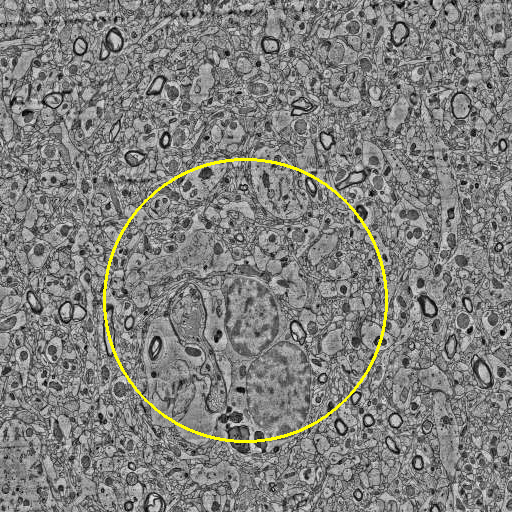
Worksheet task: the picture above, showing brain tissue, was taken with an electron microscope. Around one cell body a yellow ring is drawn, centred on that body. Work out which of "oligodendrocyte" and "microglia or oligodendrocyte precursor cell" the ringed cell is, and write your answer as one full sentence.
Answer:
It is an oligodendrocyte whose cell body lies at the centre of the yellow ring.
